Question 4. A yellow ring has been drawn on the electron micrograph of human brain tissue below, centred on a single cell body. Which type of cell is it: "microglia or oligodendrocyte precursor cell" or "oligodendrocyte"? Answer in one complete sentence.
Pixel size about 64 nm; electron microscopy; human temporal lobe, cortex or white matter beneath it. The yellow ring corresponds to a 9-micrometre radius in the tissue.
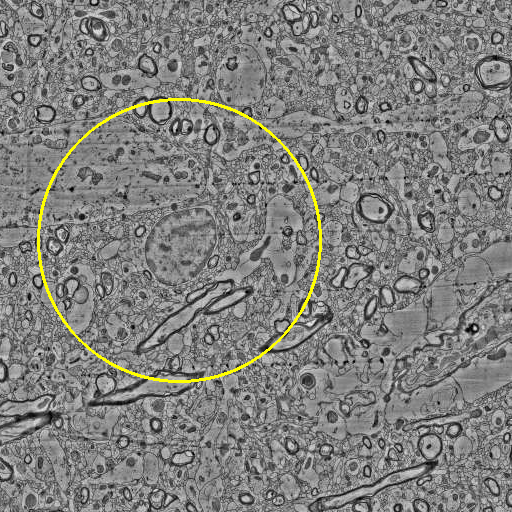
This cell body belongs to a microglial cell or oligodendrocyte precursor cell.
